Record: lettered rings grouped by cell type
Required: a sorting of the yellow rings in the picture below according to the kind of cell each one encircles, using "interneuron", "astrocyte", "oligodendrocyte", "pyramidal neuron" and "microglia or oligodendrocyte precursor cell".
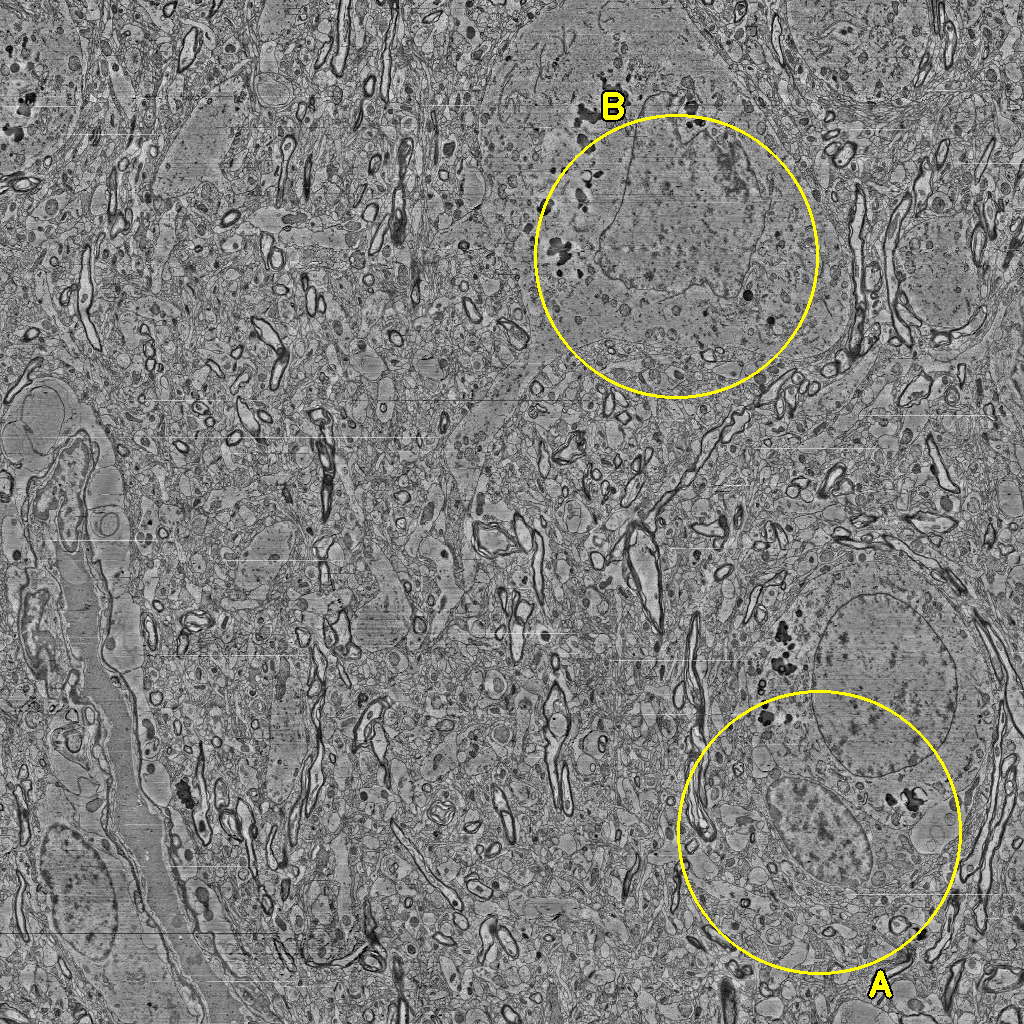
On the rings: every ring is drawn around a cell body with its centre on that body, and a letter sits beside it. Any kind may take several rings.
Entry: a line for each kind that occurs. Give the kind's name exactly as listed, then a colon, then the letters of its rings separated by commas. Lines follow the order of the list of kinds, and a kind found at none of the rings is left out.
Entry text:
oligodendrocyte: A
pyramidal neuron: B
